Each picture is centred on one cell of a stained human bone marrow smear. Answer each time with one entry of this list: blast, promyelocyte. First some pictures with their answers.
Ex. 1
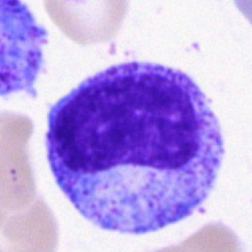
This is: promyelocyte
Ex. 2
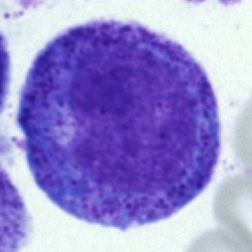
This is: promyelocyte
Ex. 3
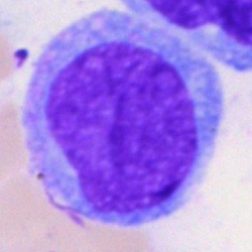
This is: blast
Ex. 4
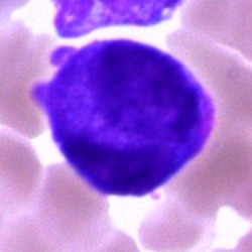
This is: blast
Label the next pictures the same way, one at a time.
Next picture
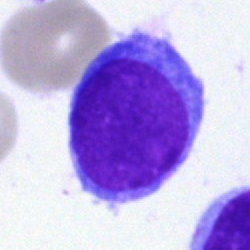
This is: blast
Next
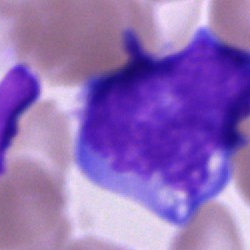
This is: blast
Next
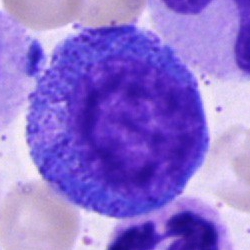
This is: promyelocyte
